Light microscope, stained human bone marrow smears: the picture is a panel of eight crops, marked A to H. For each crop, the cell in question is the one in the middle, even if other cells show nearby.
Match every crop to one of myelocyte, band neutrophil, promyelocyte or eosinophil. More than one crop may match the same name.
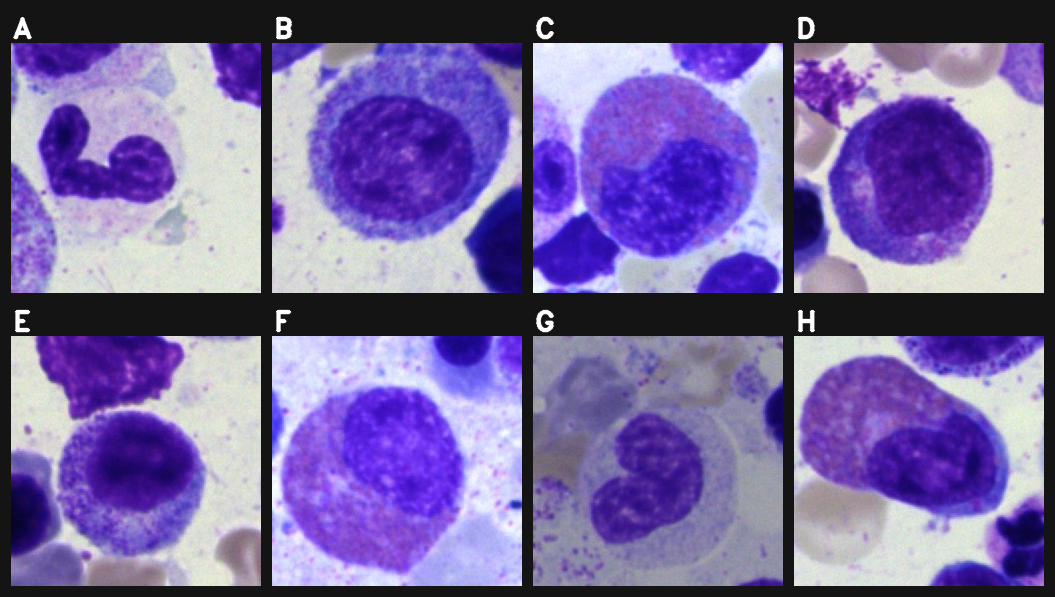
A: band neutrophil
B: promyelocyte
C: eosinophil
D: myelocyte
E: myelocyte
F: eosinophil
G: band neutrophil
H: eosinophil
